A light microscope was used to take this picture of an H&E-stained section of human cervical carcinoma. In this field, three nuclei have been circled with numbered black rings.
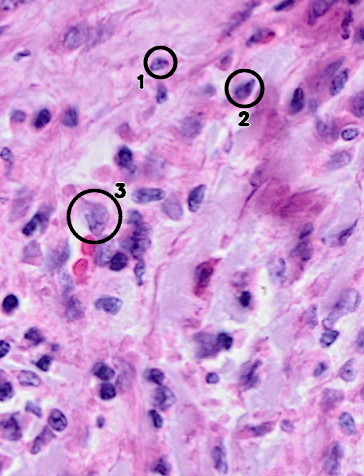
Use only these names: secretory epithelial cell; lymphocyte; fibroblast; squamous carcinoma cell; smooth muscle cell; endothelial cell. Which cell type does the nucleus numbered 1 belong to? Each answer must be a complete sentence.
That cell with number 1 is a lymphocyte.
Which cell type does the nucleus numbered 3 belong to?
The cell marked with number 3 is an endothelial cell.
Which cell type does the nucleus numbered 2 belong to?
Regarding cell 2, this one is a lymphocyte.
